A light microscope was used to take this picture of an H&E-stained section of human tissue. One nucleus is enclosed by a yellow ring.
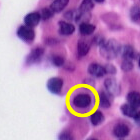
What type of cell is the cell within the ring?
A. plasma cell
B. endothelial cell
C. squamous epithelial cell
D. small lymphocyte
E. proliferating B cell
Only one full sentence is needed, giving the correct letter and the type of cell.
As the cell within the ring is a plasma cell, the correct choice is option A.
